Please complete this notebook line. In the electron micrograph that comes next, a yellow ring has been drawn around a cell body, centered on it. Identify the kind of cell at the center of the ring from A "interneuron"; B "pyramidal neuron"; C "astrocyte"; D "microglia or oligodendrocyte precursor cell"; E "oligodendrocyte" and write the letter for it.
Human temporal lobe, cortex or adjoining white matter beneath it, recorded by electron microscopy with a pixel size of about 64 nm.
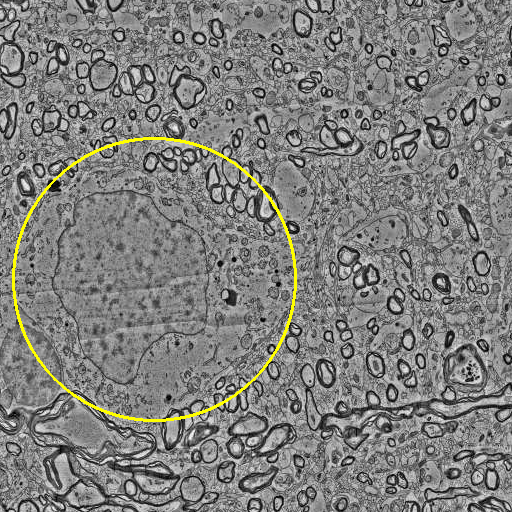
B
